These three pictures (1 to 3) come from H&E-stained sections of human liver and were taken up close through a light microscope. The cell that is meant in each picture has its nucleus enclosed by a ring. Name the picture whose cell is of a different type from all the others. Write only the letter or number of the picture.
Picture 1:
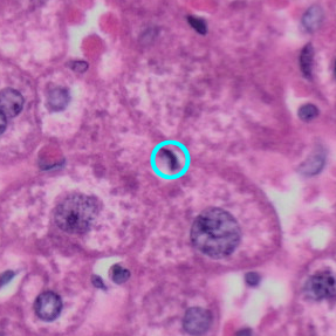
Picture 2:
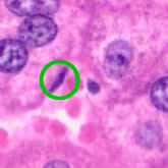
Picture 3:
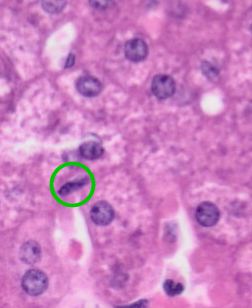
3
